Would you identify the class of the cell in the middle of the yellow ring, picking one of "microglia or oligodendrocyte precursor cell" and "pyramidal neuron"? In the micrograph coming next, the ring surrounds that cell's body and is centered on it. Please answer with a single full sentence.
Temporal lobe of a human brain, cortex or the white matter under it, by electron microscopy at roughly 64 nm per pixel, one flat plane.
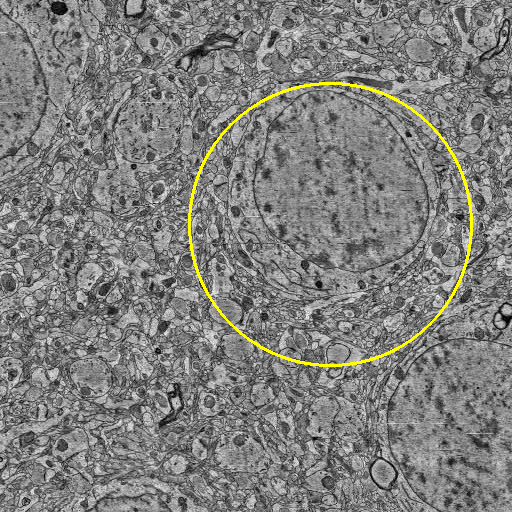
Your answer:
In the micrograph, it is a pyramidal neuron whose body lies at the ring's center.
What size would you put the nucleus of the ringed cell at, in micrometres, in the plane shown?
The nucleus has a long axis of about 13 micrometres and a short axis of about 11 micrometres in this plane.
